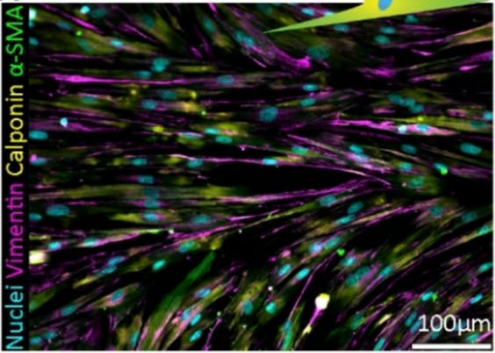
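Cultured cells form a dense monolayer of long, spindle-shaped cells that run in parallel, sweeping streams. Their oval cyan nuclei are elongated in the direction of the cells. The cytoplasm is filled with fine magenta filaments, and many cells also carry yellow and green fibrous strands along their length. The cells overlap and converge towards one side of the field.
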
